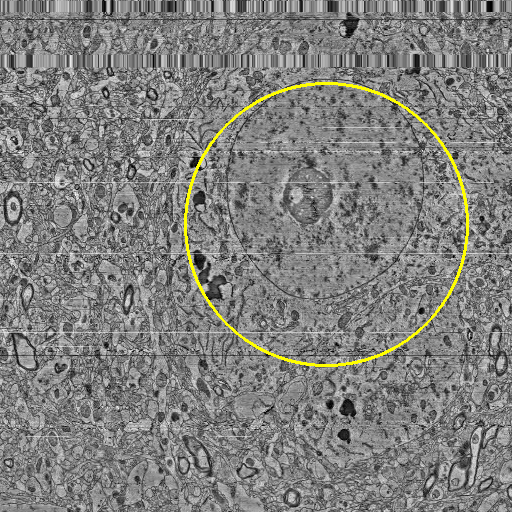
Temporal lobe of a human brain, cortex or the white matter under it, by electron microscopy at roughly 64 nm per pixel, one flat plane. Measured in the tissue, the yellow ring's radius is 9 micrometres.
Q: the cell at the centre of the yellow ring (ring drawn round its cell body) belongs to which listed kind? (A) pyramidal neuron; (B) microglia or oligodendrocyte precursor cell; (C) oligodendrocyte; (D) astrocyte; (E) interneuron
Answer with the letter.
A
